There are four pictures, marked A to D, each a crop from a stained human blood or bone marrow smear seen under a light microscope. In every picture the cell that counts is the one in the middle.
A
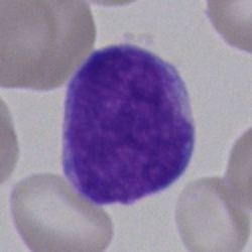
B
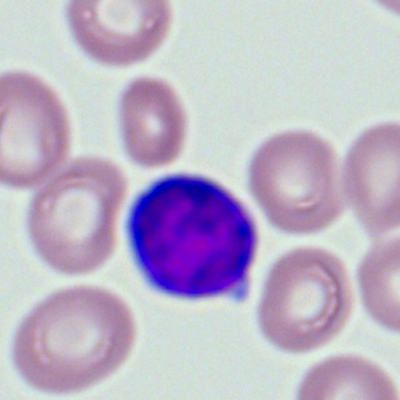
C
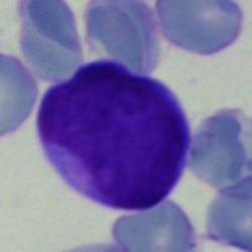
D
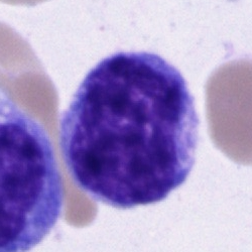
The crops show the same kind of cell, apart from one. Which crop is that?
B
